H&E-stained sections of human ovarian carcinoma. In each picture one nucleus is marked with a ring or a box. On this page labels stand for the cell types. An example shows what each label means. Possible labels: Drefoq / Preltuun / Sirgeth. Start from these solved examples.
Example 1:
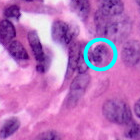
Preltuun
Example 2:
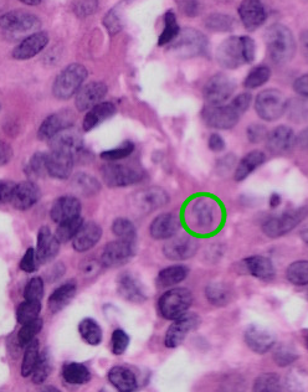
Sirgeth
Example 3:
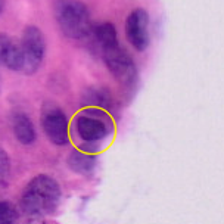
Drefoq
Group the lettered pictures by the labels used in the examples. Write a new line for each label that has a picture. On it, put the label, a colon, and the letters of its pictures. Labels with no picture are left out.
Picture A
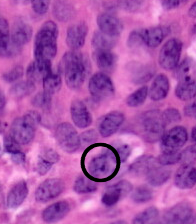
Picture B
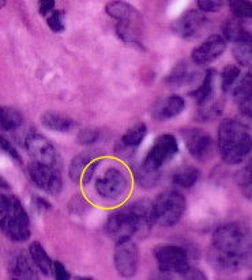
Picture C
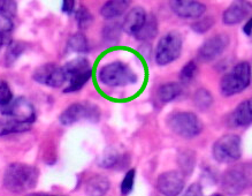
Preltuun: A, B, C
